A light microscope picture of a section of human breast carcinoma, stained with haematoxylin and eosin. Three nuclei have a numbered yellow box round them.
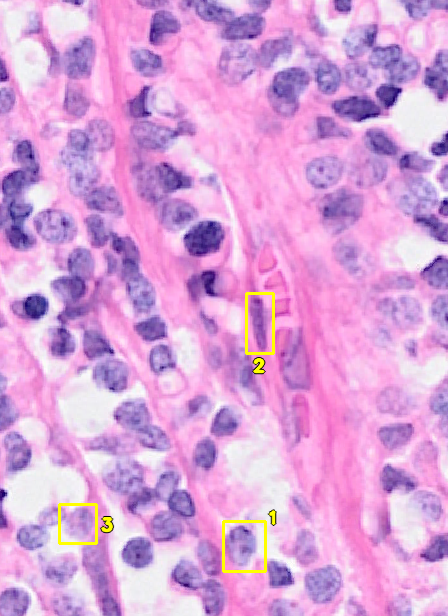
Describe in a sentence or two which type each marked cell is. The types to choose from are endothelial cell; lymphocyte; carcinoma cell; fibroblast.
Cells 1 and 3 are carcinoma cells. Cell 2 is an endothelial cell.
